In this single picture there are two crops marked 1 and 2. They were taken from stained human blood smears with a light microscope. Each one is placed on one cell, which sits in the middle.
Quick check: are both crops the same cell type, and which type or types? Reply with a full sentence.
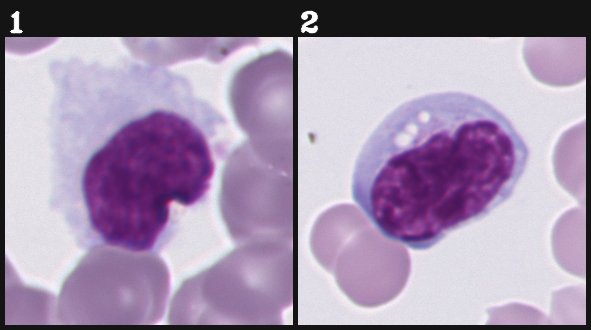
No, look again: crop 1 shows a hairy cell, and crop 2 shows a typical lymphocyte.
